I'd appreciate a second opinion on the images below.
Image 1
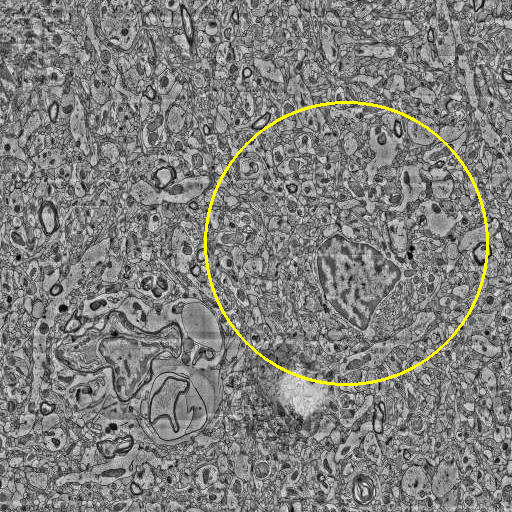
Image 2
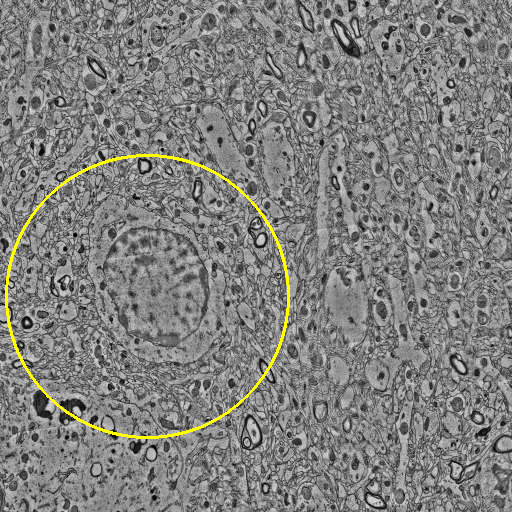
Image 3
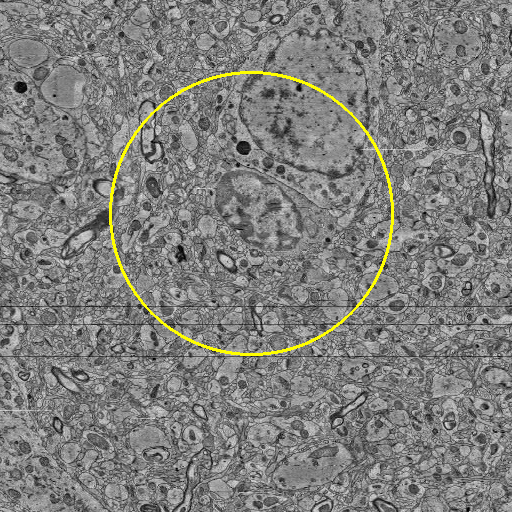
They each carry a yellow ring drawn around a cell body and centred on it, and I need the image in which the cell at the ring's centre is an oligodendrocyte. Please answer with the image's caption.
Image 3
